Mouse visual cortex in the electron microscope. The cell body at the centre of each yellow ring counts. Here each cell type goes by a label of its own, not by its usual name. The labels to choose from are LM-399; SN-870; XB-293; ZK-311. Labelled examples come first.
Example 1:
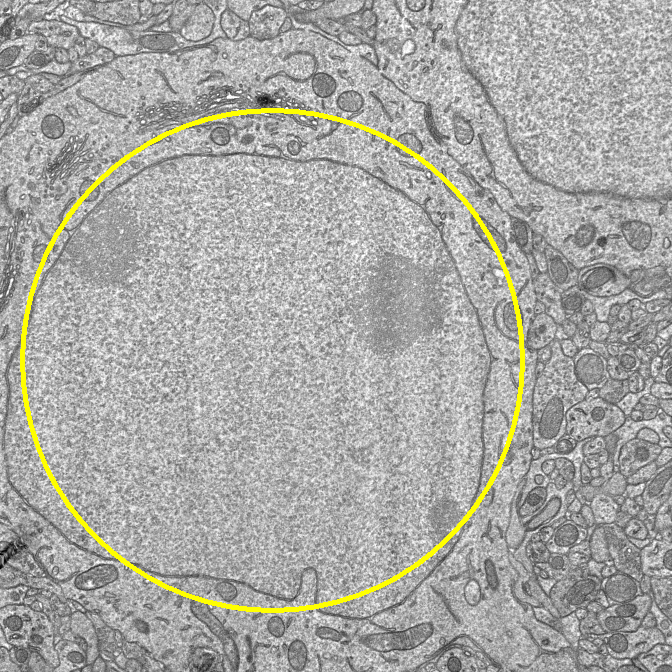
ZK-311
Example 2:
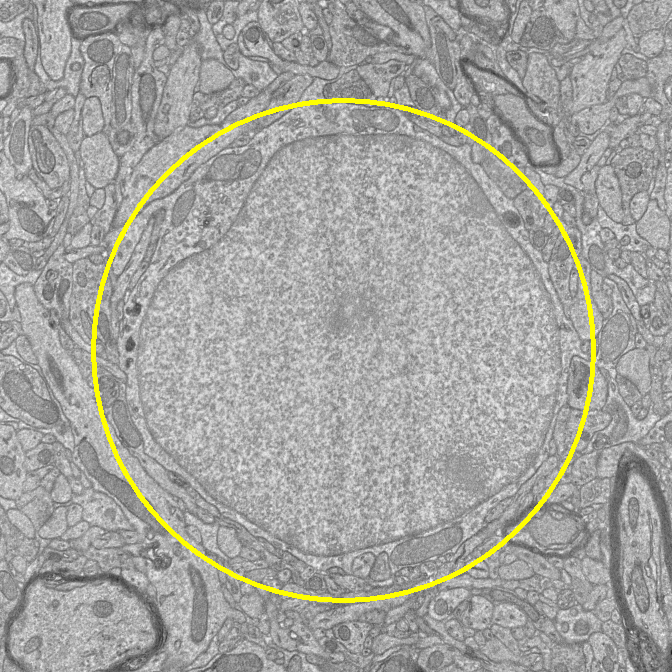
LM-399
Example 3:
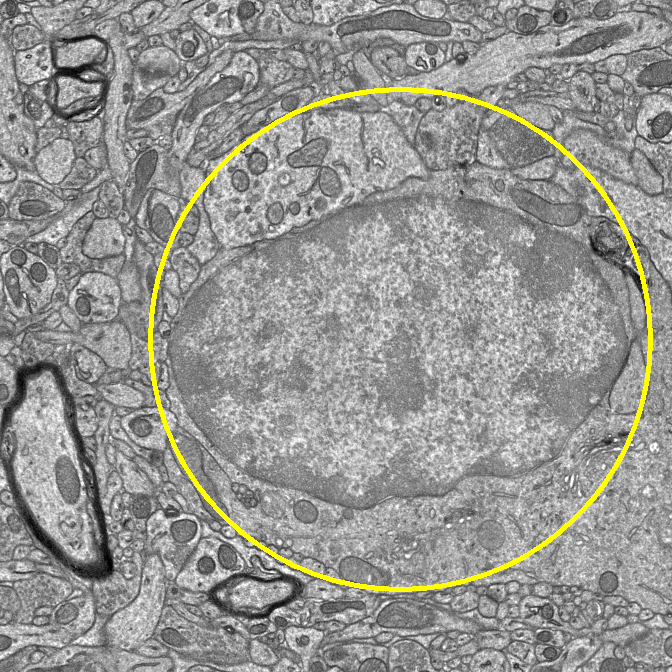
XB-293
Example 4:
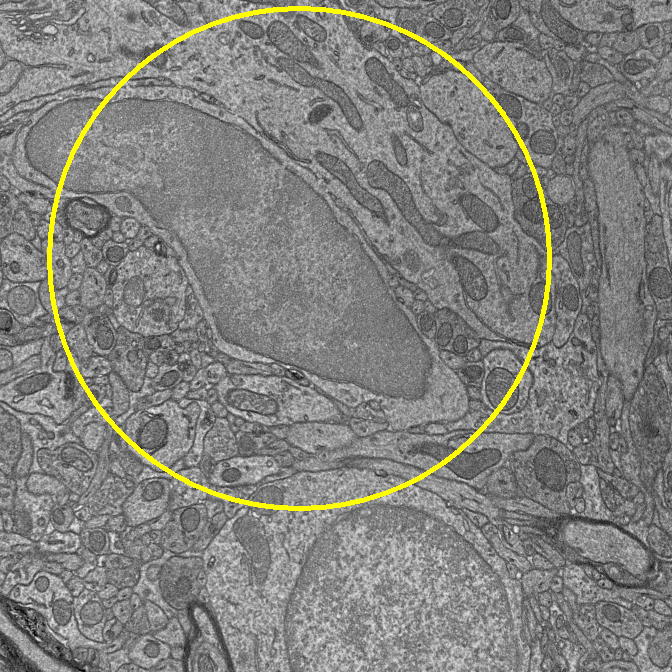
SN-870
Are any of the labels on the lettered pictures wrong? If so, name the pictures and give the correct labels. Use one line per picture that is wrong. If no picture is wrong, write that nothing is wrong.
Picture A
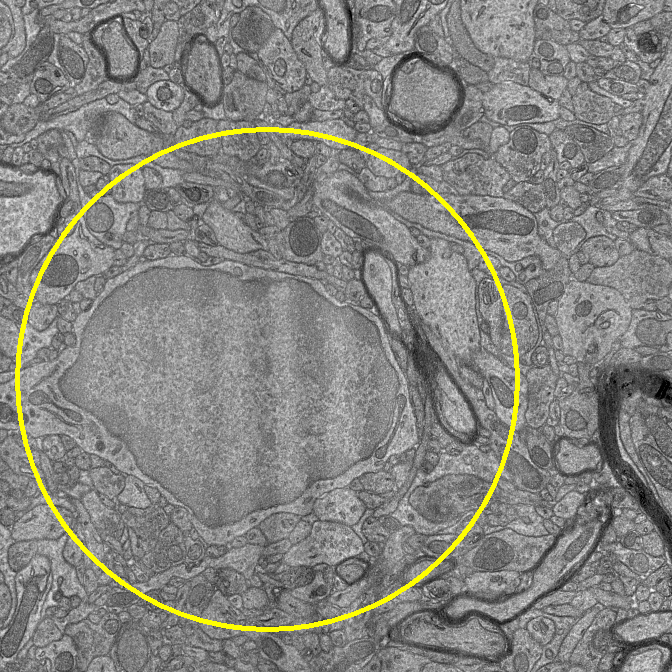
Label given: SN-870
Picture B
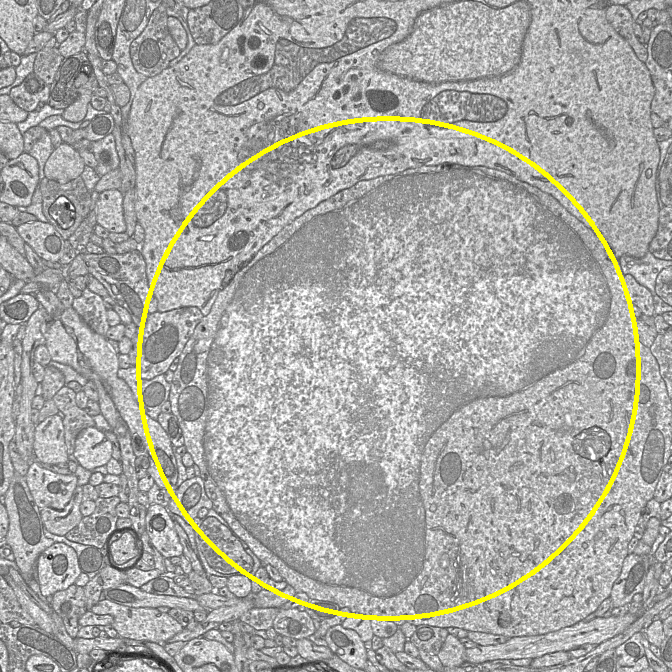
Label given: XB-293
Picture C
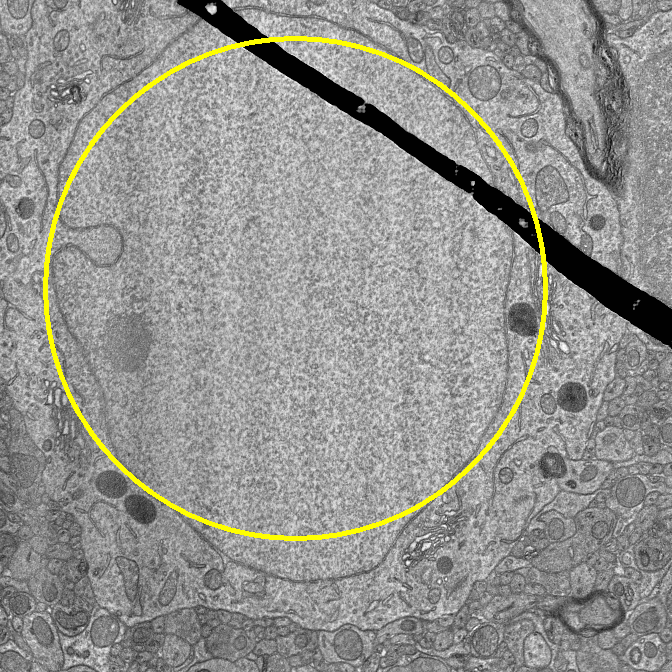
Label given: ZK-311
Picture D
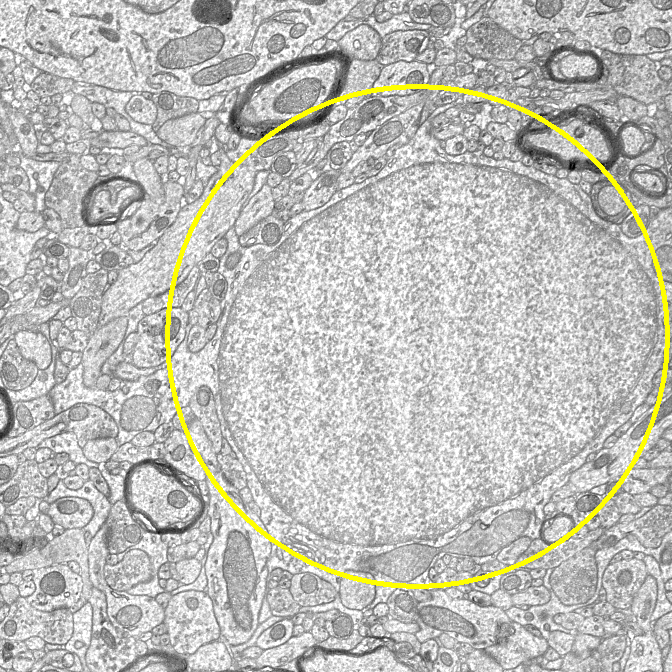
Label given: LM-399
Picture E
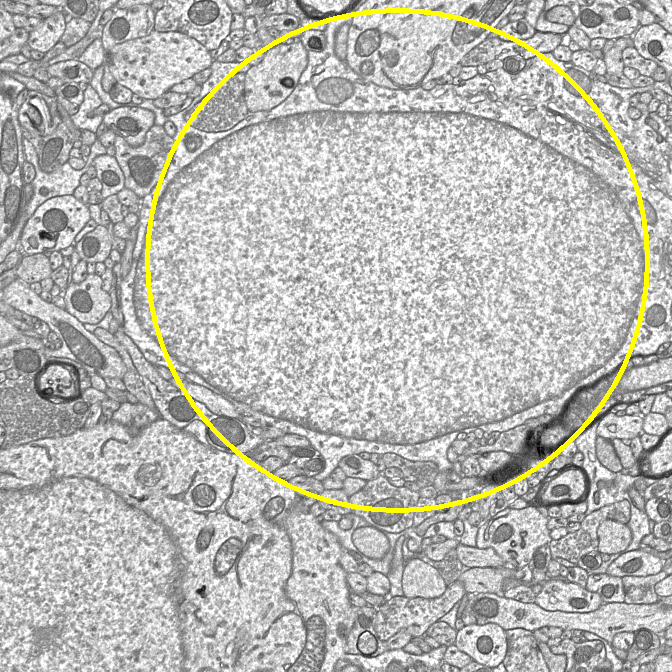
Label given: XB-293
Wrong: E (XB-293); correct: LM-399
